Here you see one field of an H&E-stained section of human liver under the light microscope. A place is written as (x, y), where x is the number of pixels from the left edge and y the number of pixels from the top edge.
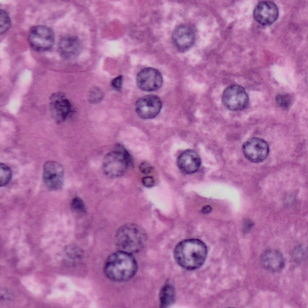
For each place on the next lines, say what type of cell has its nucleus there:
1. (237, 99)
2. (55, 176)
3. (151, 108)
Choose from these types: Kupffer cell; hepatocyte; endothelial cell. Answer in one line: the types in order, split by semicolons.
hepatocyte; endothelial cell; hepatocyte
